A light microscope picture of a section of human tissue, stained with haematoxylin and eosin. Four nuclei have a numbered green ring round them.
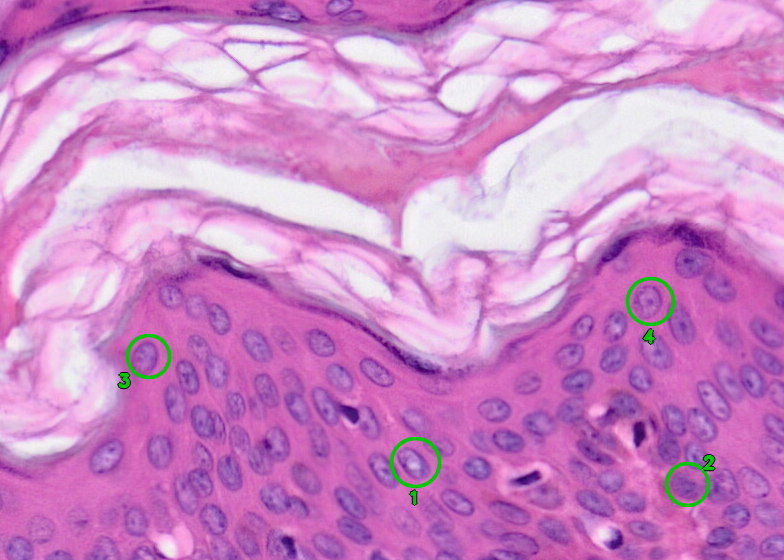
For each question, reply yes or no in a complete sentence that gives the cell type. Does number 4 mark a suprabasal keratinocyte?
Yes, among the marked cells, the one with number 4 is a suprabasal keratinocyte.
